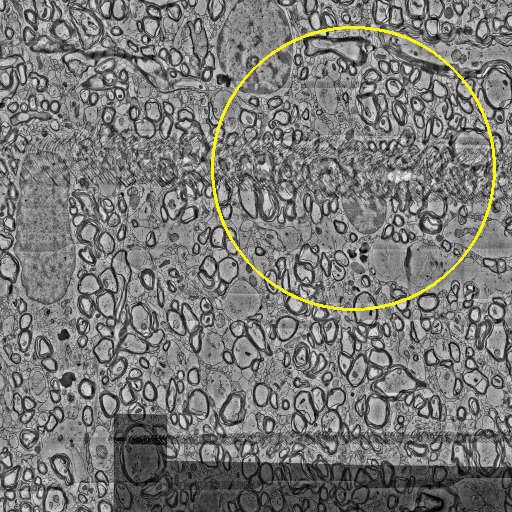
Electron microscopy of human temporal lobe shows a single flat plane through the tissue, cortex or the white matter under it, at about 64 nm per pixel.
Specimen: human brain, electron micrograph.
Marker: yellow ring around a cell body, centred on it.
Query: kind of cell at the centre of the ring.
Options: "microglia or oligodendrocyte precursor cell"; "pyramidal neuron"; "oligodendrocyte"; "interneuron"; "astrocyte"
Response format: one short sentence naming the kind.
This cell body belongs to a microglial cell or oligodendrocyte precursor cell.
